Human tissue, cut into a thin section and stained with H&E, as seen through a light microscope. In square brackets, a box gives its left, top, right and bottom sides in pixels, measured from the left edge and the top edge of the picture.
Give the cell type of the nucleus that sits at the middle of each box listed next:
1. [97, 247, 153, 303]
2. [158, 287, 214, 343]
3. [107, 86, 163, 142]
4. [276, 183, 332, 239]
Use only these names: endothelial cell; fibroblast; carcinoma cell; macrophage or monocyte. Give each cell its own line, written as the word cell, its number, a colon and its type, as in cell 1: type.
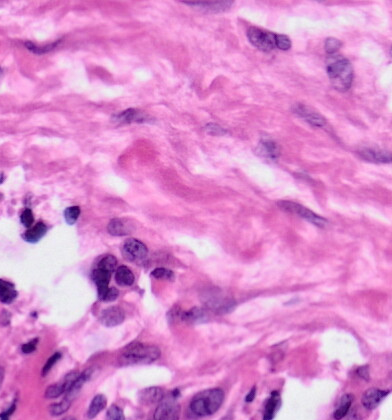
cell 1: carcinoma cell
cell 2: fibroblast
cell 3: fibroblast
cell 4: fibroblast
